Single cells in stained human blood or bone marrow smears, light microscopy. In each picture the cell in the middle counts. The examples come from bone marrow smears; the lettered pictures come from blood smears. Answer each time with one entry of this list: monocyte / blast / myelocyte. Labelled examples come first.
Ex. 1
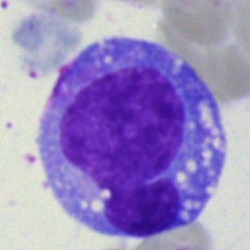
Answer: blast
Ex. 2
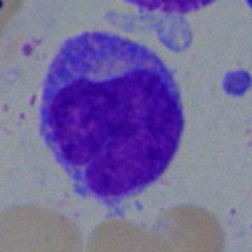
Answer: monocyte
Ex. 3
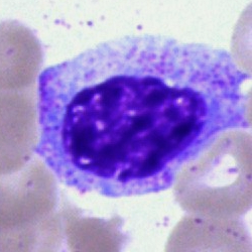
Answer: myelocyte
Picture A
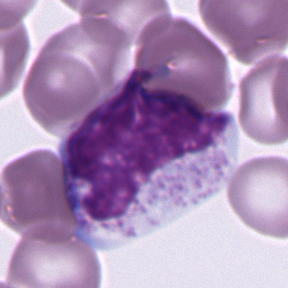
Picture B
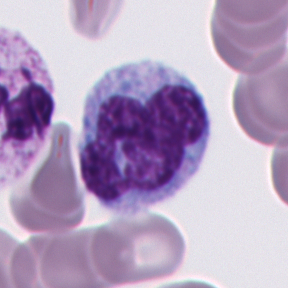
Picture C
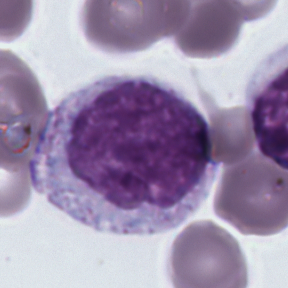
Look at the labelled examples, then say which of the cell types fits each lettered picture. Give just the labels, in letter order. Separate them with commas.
myelocyte, monocyte, myelocyte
